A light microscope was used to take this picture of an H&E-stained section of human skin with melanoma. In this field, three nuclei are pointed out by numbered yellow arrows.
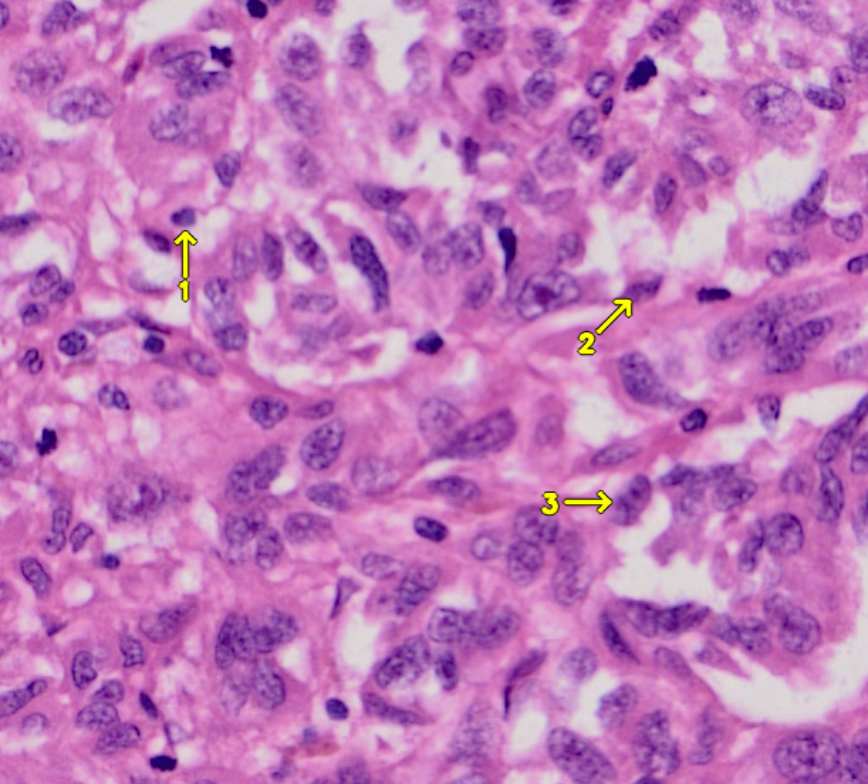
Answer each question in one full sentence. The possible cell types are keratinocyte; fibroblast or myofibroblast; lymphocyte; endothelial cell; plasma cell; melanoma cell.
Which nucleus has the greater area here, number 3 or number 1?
Nucleus 3 covers more area, about 2.5 times as much as nucleus 1.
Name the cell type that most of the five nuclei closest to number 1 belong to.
Most of the five nuclei nearest to number 1 are those of melanoma cells.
